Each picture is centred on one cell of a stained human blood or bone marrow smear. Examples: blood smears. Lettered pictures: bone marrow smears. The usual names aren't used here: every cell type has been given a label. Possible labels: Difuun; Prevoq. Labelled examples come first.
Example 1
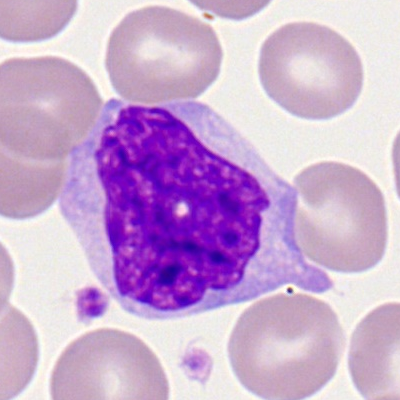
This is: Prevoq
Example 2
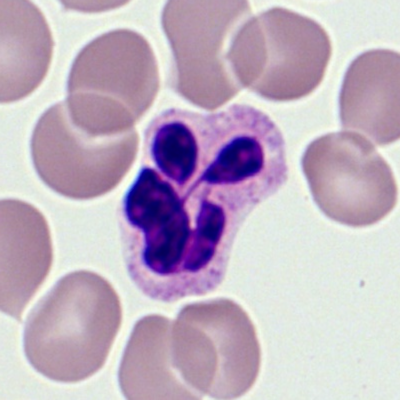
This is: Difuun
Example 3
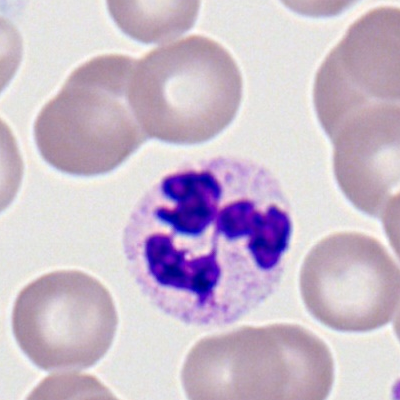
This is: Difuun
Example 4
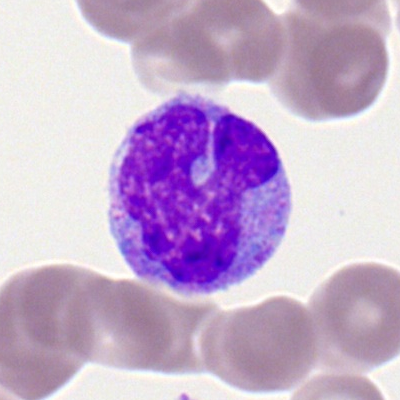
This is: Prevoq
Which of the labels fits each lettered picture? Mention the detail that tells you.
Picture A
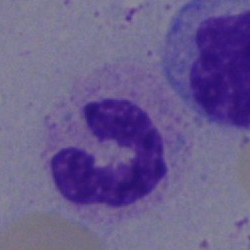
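Difuun. Evidence: The cytoplasm is ample and pale pinkish-lilac.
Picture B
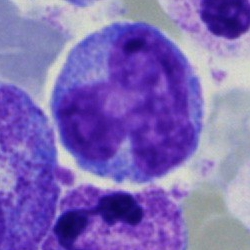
Prevoq. Evidence: The nucleus fills most of the cell.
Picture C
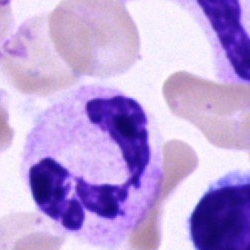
Difuun. Evidence: The cytoplasm is abundant and pale pinkish-lilac.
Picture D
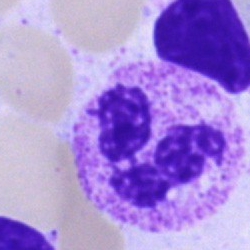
Difuun. Evidence: Small pink-violet granules are scattered throughout the cytoplasm.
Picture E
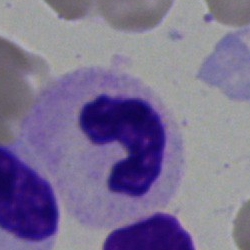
Difuun. Evidence: Fine lilac granules are scattered through the cytoplasm.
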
